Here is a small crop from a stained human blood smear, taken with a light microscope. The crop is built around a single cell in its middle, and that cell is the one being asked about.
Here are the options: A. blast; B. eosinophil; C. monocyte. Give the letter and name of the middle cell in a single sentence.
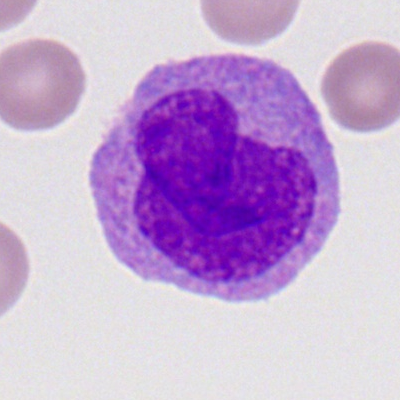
What option A states is correct, the central cell being a blast.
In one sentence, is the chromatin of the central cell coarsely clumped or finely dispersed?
The chromatin is fine; coarse clumps are not a feature here.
